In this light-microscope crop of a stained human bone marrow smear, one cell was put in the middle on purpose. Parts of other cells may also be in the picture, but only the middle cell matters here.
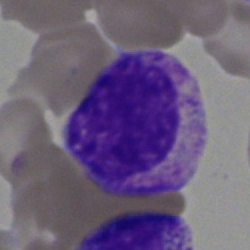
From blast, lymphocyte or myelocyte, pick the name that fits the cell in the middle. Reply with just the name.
myelocyte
